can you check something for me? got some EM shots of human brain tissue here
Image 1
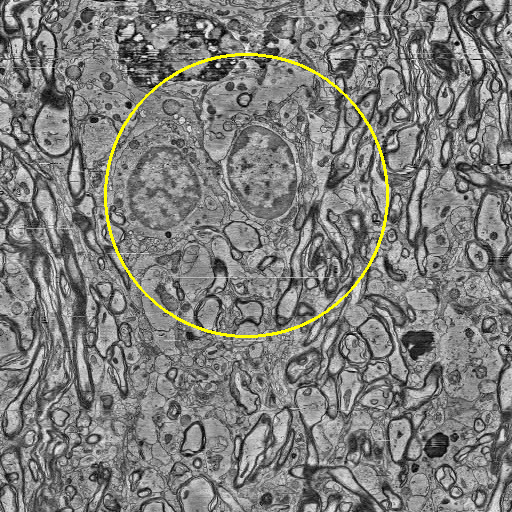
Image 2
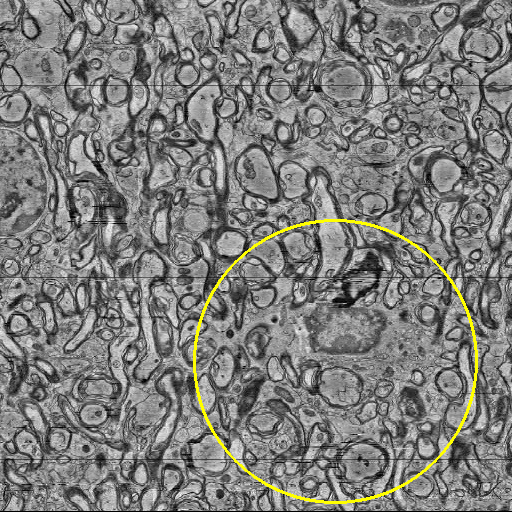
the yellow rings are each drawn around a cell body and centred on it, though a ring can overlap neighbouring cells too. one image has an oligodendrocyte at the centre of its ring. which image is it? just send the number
2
